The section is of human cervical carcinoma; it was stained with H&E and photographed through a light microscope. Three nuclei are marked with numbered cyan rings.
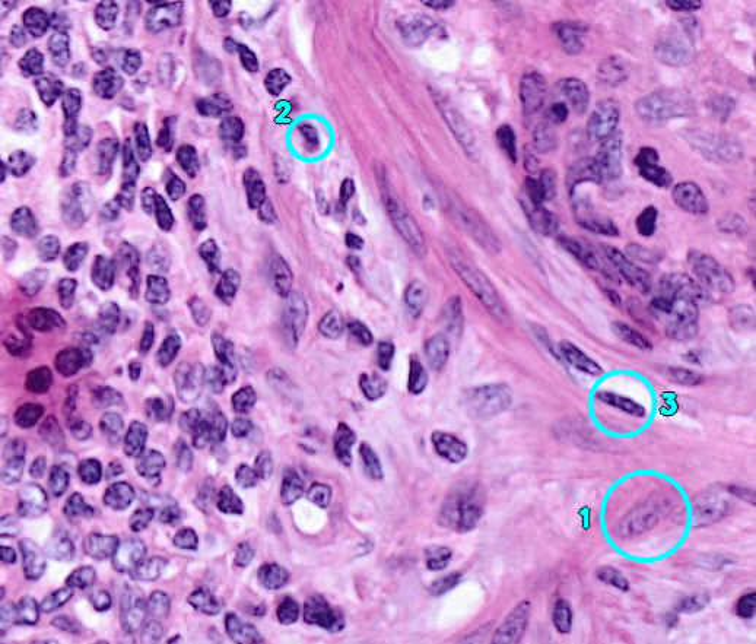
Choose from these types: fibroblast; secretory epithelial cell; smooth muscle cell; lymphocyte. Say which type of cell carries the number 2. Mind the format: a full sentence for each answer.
The cell that carries the label 2 is a lymphocyte.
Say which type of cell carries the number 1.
Here, the cell given the number 1 is a smooth muscle cell.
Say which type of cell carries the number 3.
The numbered cell 3 in this field is a lymphocyte.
